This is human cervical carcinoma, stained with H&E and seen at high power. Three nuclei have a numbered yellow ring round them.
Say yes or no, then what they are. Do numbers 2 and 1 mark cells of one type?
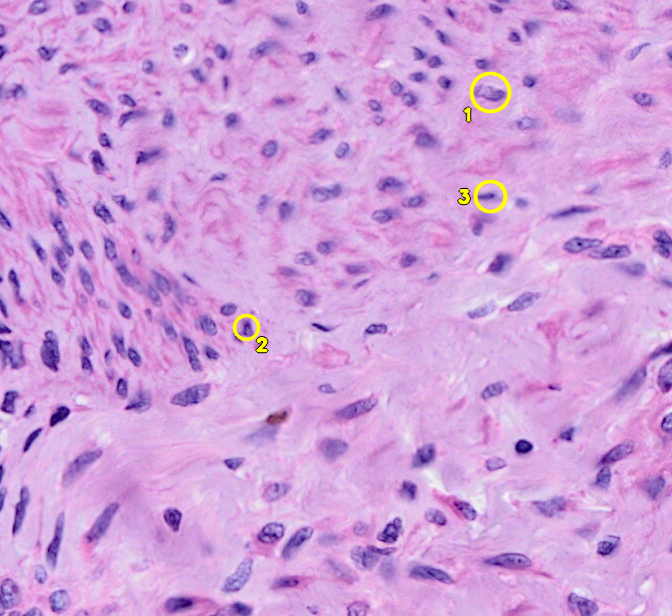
Yes, the two numbered cells, 2 and 1, are both smooth muscle cells.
